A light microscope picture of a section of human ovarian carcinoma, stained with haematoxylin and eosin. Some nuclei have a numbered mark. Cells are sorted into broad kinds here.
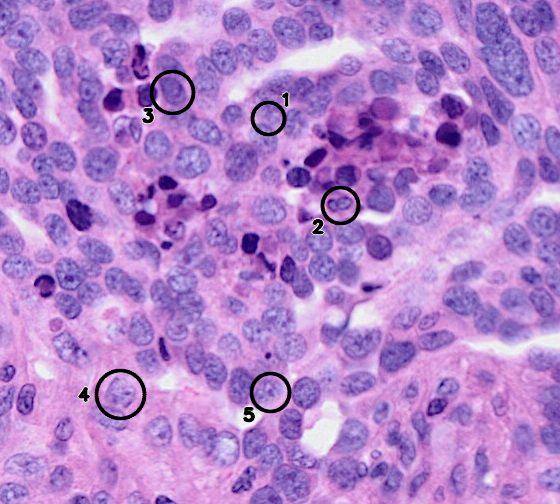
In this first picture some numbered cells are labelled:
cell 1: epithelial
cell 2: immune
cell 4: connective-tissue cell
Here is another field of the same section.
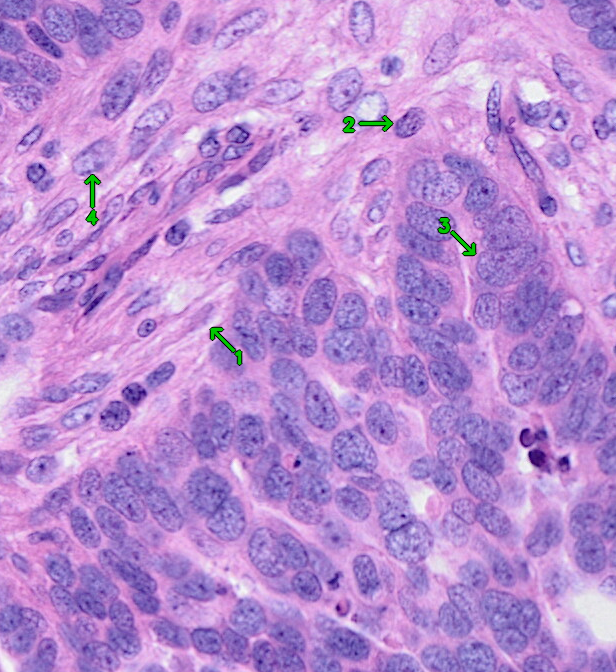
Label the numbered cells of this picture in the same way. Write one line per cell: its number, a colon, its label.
1: connective-tissue cell
2: immune
3: epithelial
4: connective-tissue cell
